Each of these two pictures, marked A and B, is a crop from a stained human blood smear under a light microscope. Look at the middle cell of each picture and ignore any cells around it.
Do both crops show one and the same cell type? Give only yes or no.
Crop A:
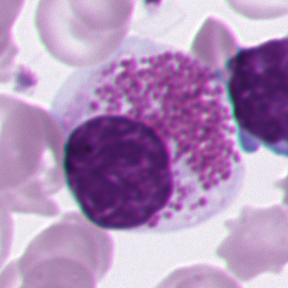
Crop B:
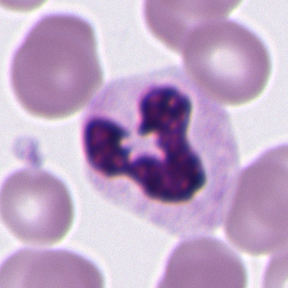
no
